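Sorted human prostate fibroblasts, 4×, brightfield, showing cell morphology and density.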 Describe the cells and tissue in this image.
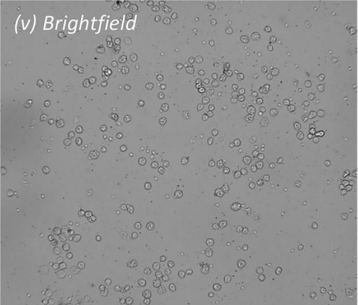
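The cells are rounded and refractile, with dark rims and lighter centres, and vary somewhat in size. Smaller dark particles lie between the cells. No cell is spread or spindle-shaped, and no processes extend from them, so the cells appear to be lying loose rather than attached and flattened.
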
